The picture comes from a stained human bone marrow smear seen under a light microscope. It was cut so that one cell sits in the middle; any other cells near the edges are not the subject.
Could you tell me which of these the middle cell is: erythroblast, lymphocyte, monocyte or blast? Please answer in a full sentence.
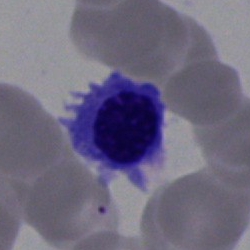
At the middle of the frame sits an erythroblast.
